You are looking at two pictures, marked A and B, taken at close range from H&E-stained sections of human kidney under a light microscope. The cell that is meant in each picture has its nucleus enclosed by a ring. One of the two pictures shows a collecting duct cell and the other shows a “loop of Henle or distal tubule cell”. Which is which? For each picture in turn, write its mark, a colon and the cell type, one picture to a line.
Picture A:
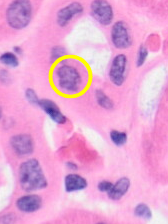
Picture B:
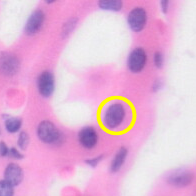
A: collecting duct cell
B: loop of Henle or distal tubule cell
